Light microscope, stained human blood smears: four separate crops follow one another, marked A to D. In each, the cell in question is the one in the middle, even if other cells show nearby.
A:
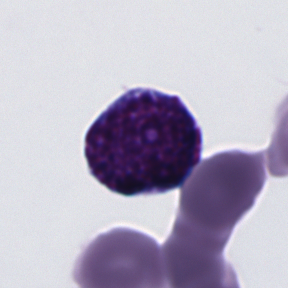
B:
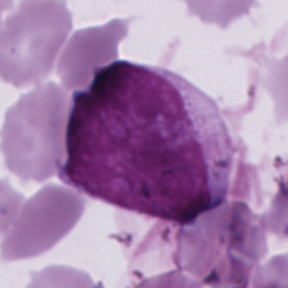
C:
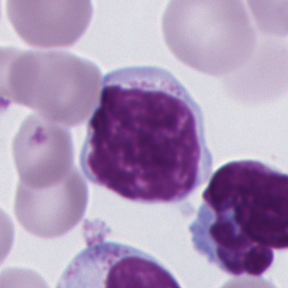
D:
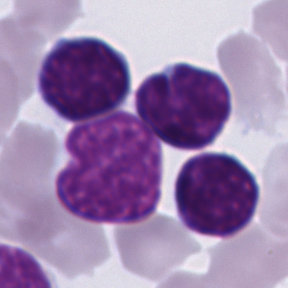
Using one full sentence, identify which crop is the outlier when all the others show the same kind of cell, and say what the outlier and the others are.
A different cell type, a large granular lymphocyte, occupies crop C; the other crops show myeloblasts.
